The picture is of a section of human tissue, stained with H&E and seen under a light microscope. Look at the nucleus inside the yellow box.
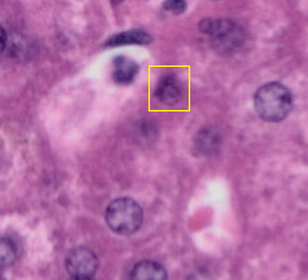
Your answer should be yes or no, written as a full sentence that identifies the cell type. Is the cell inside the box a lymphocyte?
No, the cell inside the box is not to be called a lymphocyte; it is a fibroblast or stellate cell.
